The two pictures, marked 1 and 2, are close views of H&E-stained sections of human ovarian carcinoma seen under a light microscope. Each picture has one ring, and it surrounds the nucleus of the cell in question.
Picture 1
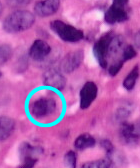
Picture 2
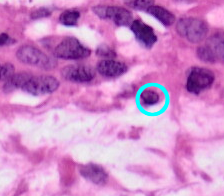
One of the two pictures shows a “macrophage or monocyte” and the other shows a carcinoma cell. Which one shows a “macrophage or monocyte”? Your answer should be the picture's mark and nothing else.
2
